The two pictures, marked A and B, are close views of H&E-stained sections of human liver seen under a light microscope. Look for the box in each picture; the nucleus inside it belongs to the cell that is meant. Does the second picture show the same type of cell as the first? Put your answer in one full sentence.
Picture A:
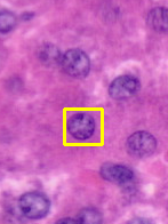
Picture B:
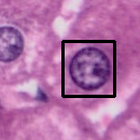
Yes, they are the same type: both are hepatocytes.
